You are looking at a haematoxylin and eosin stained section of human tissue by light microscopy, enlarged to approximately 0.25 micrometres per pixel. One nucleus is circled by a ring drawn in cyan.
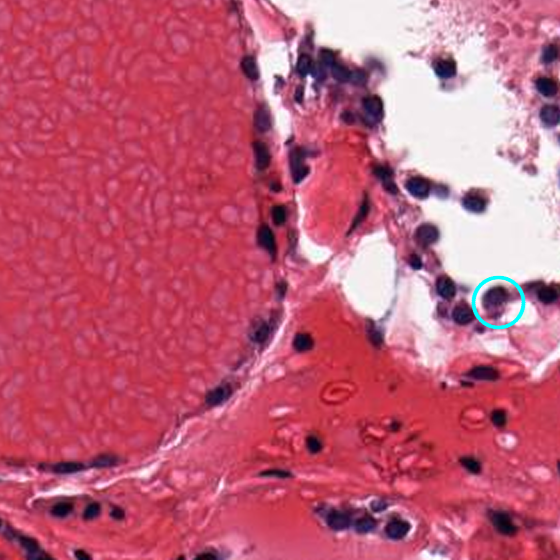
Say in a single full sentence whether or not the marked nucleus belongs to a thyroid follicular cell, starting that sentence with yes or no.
Yes, the marked nucleus is contained in a thyroid follicular cell.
